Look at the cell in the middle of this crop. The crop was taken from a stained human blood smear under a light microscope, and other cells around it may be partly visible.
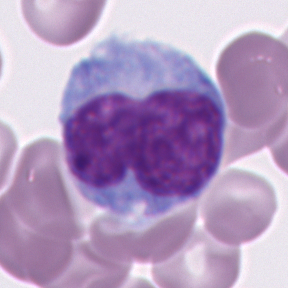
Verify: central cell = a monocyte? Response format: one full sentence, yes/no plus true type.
Yes, the middle of the crop is occupied by a monocyte.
